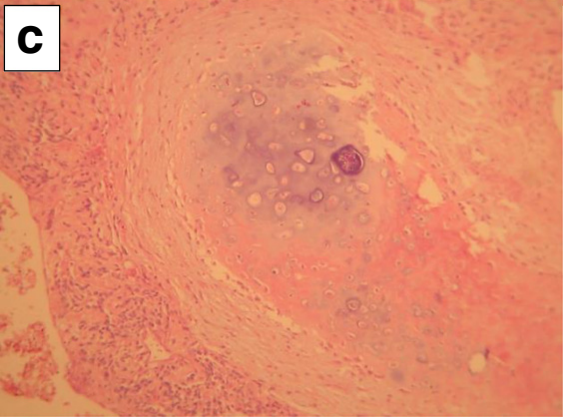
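A rounded nodule in the centre has a pale blue-purple matrix in which rounded cells lie singly within clear spaces, blending at one side into a pinker, glassy zone. Around the nodule runs a rim of densely packed spindle-shaped cells, and at the left edge an open space lies within the surrounding cellular tissue.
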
